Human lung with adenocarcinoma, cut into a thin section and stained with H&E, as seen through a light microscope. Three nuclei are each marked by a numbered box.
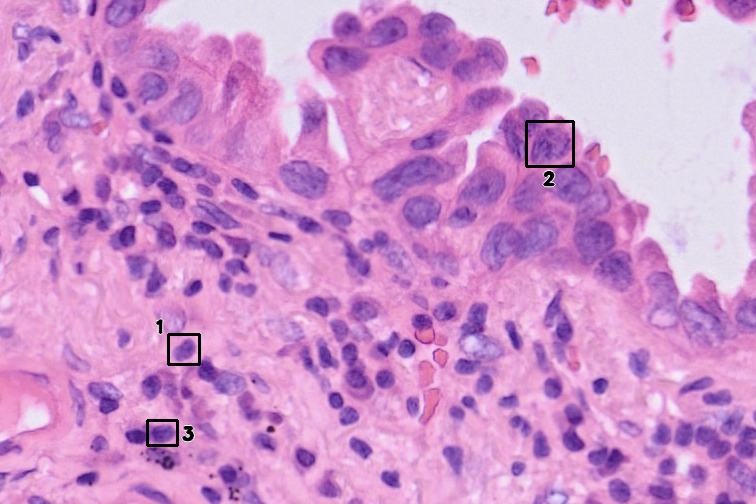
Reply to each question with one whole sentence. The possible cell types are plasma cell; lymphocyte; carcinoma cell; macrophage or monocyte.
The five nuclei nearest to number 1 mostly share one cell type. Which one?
The majority of the five nuclei closest to number 1 belong to plasma cells.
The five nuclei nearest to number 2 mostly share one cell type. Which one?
Of the five nuclei nearest to number 2, most belong to carcinoma cells.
